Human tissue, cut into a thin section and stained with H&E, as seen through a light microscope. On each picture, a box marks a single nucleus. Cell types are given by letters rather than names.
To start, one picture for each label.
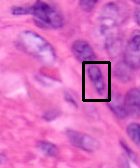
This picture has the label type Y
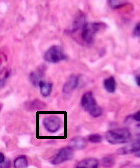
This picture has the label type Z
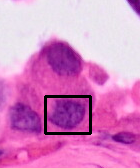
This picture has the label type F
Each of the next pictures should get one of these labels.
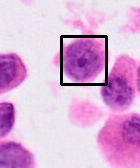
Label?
type F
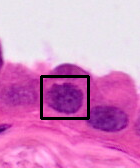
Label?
type F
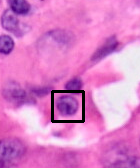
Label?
type Z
